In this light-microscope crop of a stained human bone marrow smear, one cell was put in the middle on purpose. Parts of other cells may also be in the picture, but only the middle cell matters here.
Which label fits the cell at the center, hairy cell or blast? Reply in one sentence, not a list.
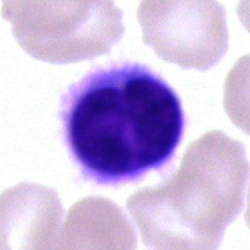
Positioned in the middle of the crop is a hairy cell.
